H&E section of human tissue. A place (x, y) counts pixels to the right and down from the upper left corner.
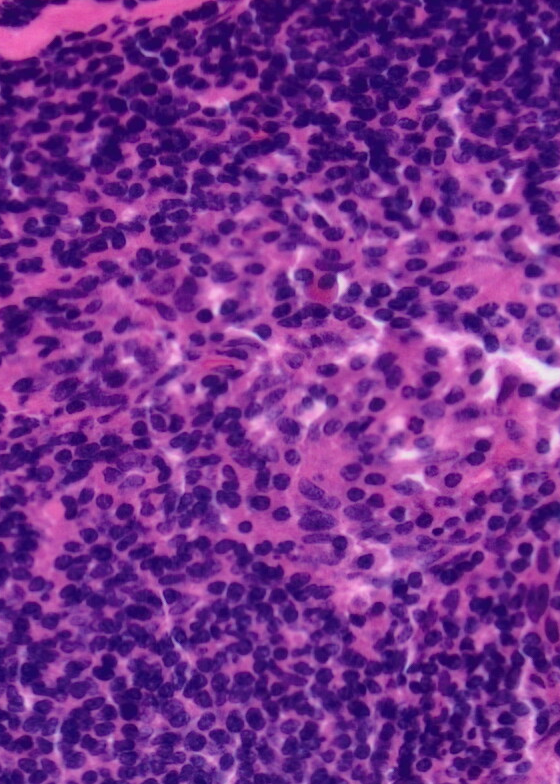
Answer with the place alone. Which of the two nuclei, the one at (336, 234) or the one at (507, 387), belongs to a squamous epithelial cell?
(507, 387)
